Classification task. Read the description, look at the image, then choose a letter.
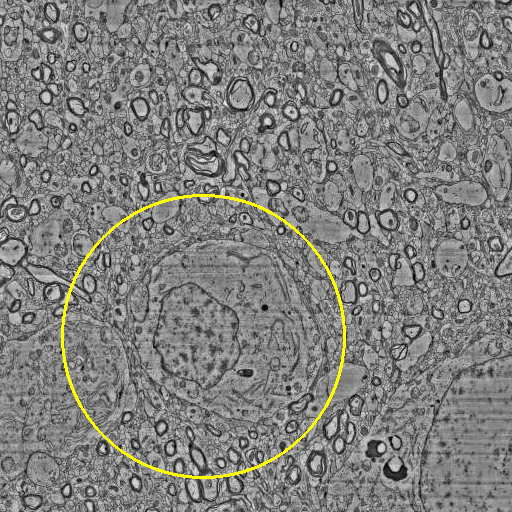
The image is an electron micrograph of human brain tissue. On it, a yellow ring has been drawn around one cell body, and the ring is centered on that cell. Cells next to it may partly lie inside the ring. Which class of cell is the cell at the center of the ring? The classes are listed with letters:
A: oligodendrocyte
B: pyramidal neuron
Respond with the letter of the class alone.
B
